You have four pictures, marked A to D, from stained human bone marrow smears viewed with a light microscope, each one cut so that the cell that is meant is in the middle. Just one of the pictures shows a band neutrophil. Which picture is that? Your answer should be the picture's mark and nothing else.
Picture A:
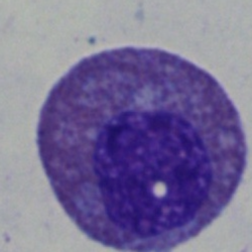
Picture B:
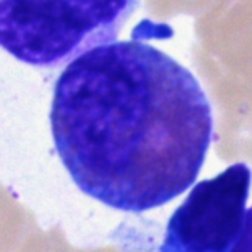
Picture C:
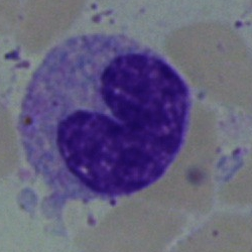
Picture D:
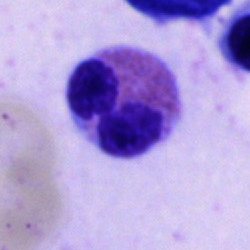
C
